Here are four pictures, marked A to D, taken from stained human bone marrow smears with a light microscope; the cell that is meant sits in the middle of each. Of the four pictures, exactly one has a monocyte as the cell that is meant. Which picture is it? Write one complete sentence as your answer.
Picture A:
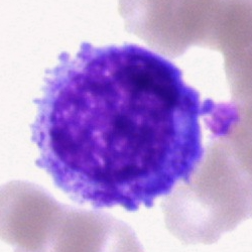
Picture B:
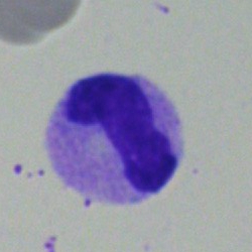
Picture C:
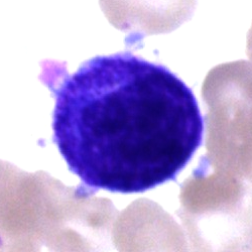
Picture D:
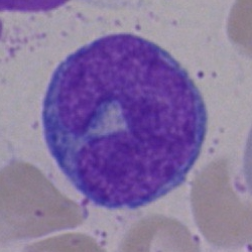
It is picture D that shows the monocyte.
